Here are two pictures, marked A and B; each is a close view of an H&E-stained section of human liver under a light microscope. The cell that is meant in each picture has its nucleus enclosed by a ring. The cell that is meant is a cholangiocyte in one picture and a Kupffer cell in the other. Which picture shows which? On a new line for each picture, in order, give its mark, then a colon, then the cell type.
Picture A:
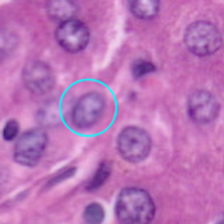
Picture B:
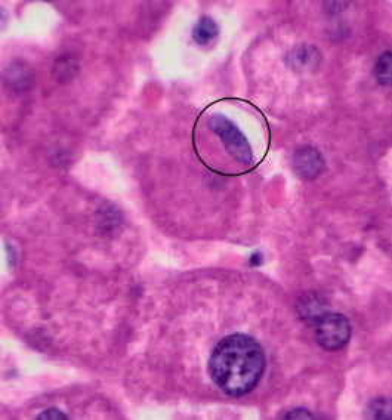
A: cholangiocyte
B: Kupffer cell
